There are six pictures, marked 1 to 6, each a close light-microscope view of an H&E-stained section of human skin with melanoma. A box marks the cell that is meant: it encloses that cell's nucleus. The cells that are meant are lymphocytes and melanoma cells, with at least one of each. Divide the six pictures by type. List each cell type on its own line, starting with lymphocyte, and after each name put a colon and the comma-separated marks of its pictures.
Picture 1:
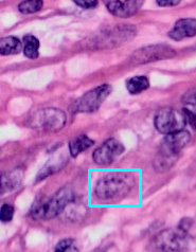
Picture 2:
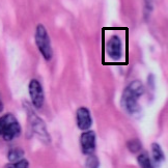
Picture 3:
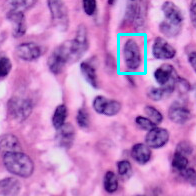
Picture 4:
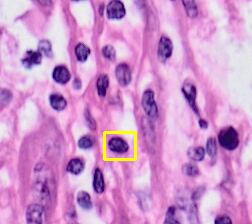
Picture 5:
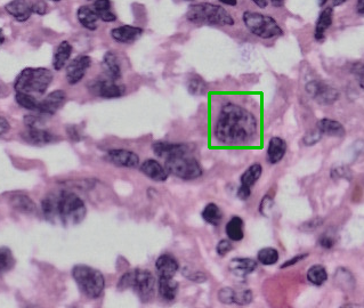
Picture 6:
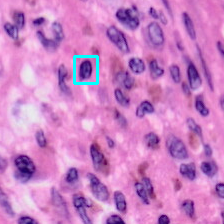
lymphocyte: 2, 3, 4, 6
melanoma cell: 1, 5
